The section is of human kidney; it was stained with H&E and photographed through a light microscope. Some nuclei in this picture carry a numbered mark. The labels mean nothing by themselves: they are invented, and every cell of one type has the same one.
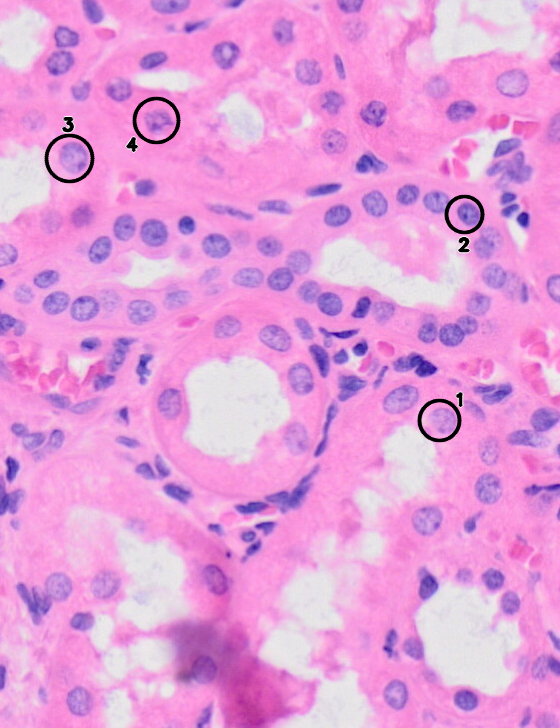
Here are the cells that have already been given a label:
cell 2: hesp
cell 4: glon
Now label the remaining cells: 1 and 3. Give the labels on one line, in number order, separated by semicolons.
glon; glon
